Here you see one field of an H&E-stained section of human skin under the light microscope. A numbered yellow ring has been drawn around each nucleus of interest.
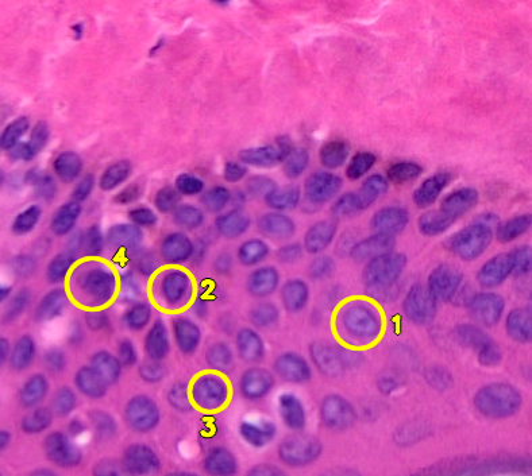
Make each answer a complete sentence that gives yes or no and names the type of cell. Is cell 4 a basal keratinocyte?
Yes, the cell denoted by 4 is a basal keratinocyte.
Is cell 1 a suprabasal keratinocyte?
Yes, in this section the cell with number 1 is a suprabasal keratinocyte.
